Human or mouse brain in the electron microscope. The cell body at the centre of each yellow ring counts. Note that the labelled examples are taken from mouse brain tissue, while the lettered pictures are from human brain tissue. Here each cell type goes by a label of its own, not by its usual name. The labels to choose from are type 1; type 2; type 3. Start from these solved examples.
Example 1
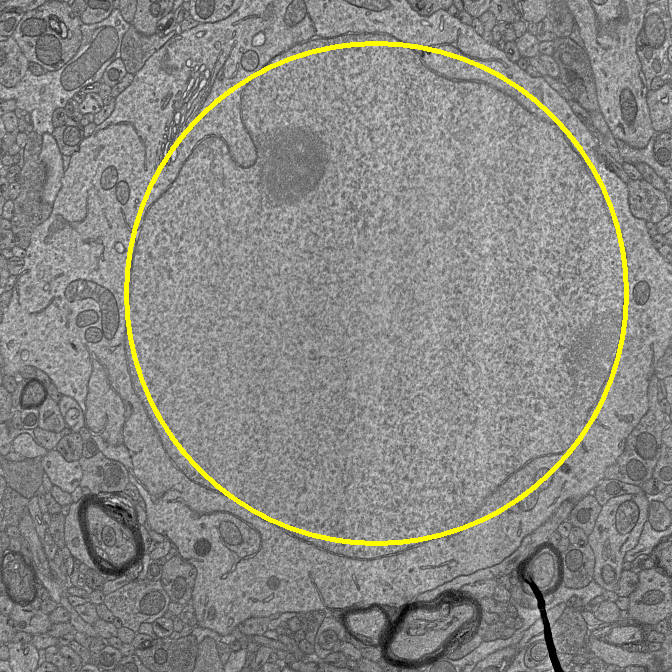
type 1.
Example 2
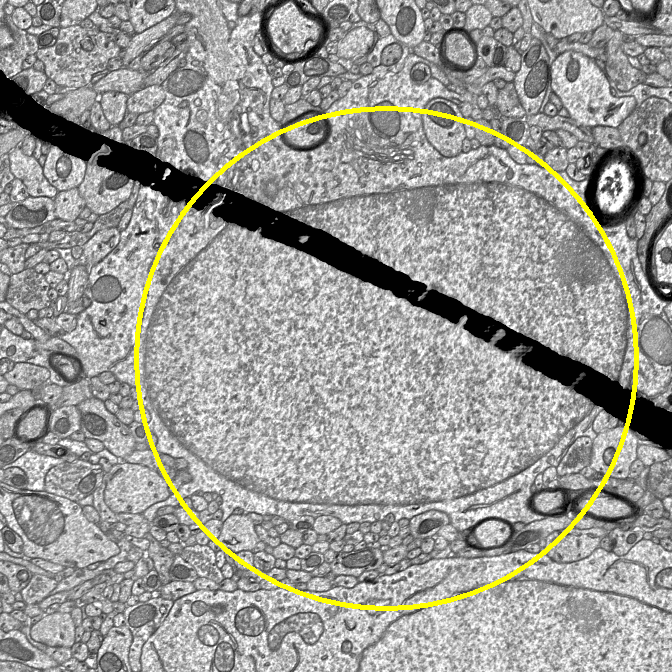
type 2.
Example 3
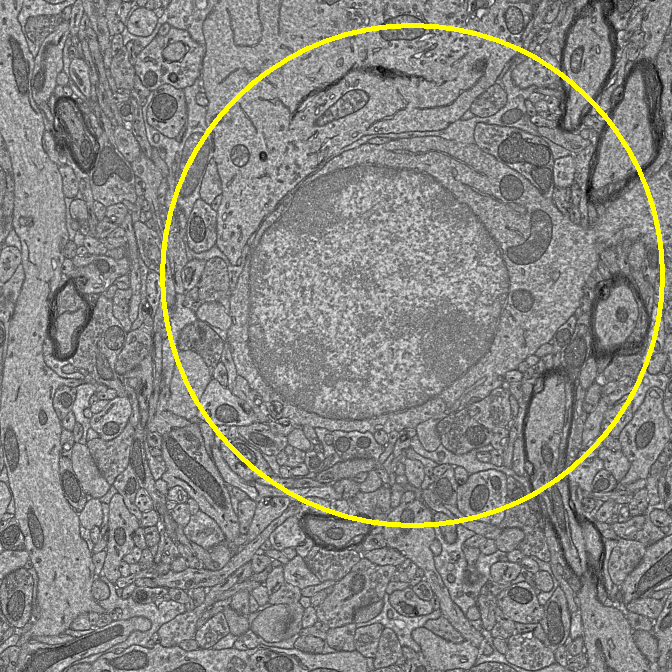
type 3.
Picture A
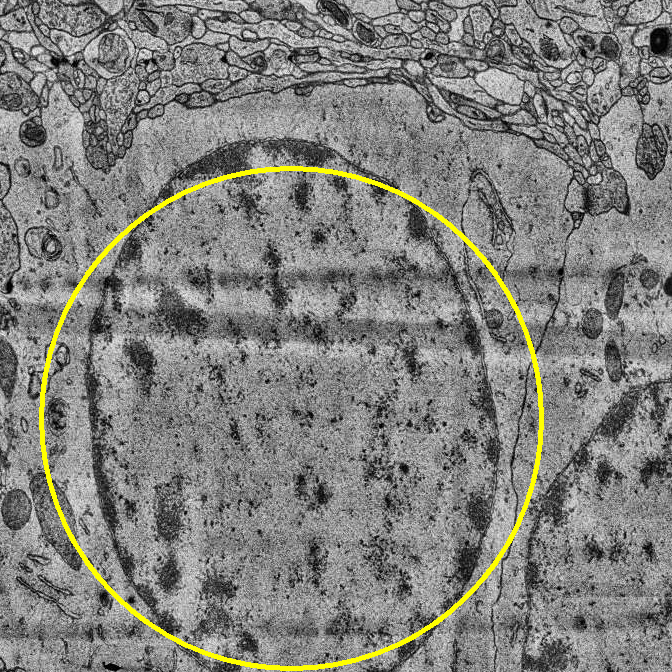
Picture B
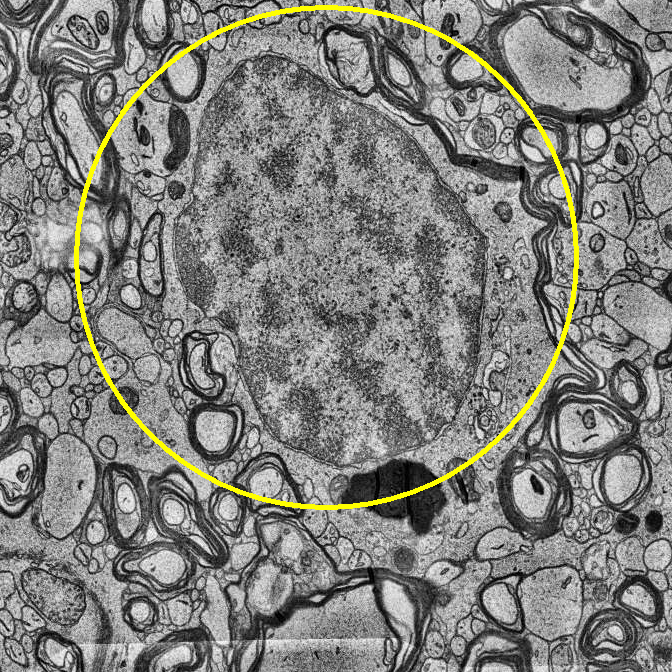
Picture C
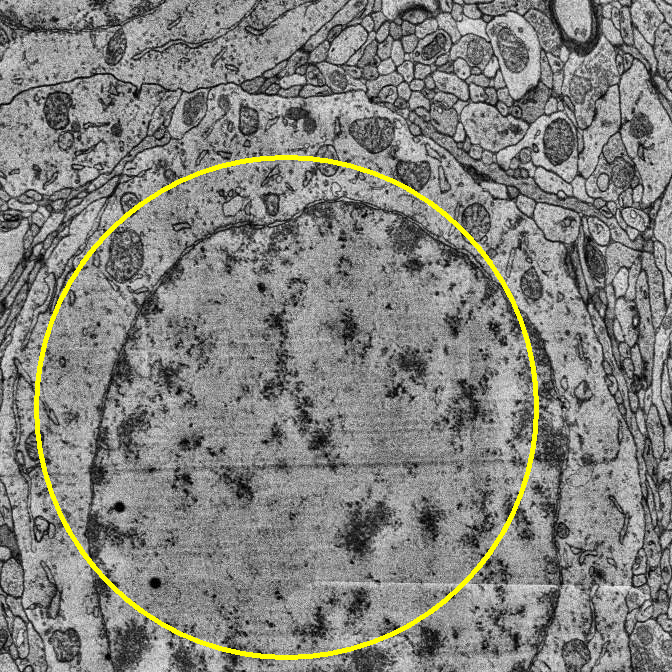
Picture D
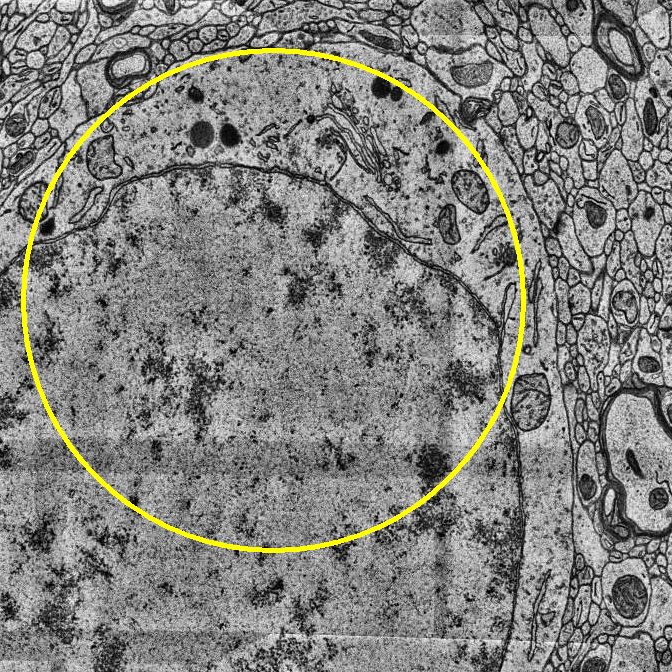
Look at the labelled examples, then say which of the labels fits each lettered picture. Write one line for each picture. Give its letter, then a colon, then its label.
A: type 2.
B: type 3.
C: type 1.
D: type 1.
